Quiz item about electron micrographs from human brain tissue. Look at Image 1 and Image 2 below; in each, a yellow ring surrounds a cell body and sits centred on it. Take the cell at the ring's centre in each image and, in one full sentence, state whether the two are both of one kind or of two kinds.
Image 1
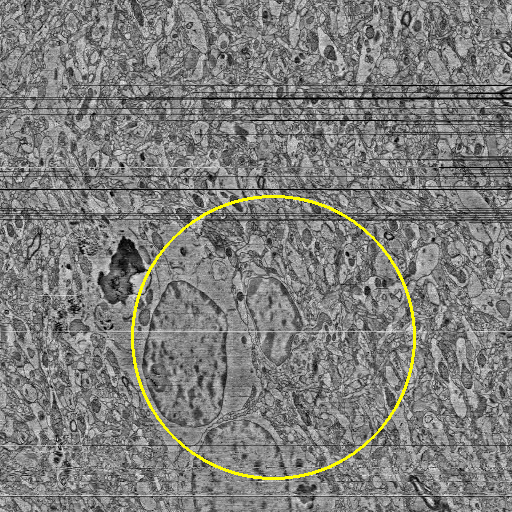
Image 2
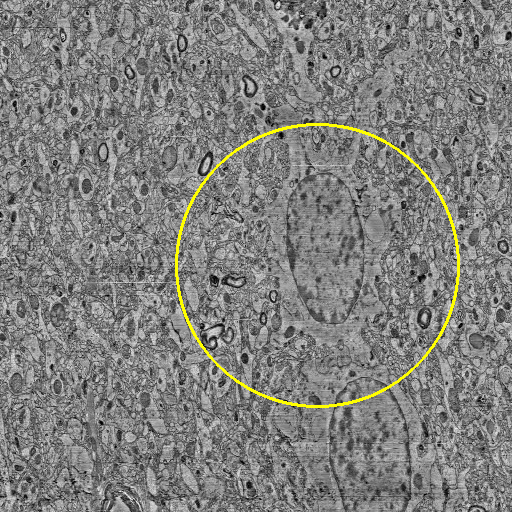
In Image 1 and Image 2, the cells at the ring centres are of two kinds.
